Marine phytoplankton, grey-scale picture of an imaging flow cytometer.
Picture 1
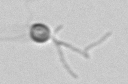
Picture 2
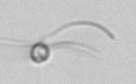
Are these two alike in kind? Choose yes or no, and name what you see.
Yes. Ophiaster.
